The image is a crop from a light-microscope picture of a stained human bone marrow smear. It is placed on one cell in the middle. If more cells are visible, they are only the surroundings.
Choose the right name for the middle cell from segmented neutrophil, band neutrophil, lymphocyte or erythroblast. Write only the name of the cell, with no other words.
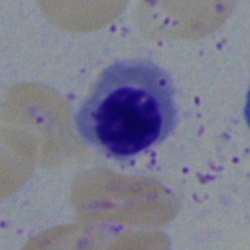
erythroblast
